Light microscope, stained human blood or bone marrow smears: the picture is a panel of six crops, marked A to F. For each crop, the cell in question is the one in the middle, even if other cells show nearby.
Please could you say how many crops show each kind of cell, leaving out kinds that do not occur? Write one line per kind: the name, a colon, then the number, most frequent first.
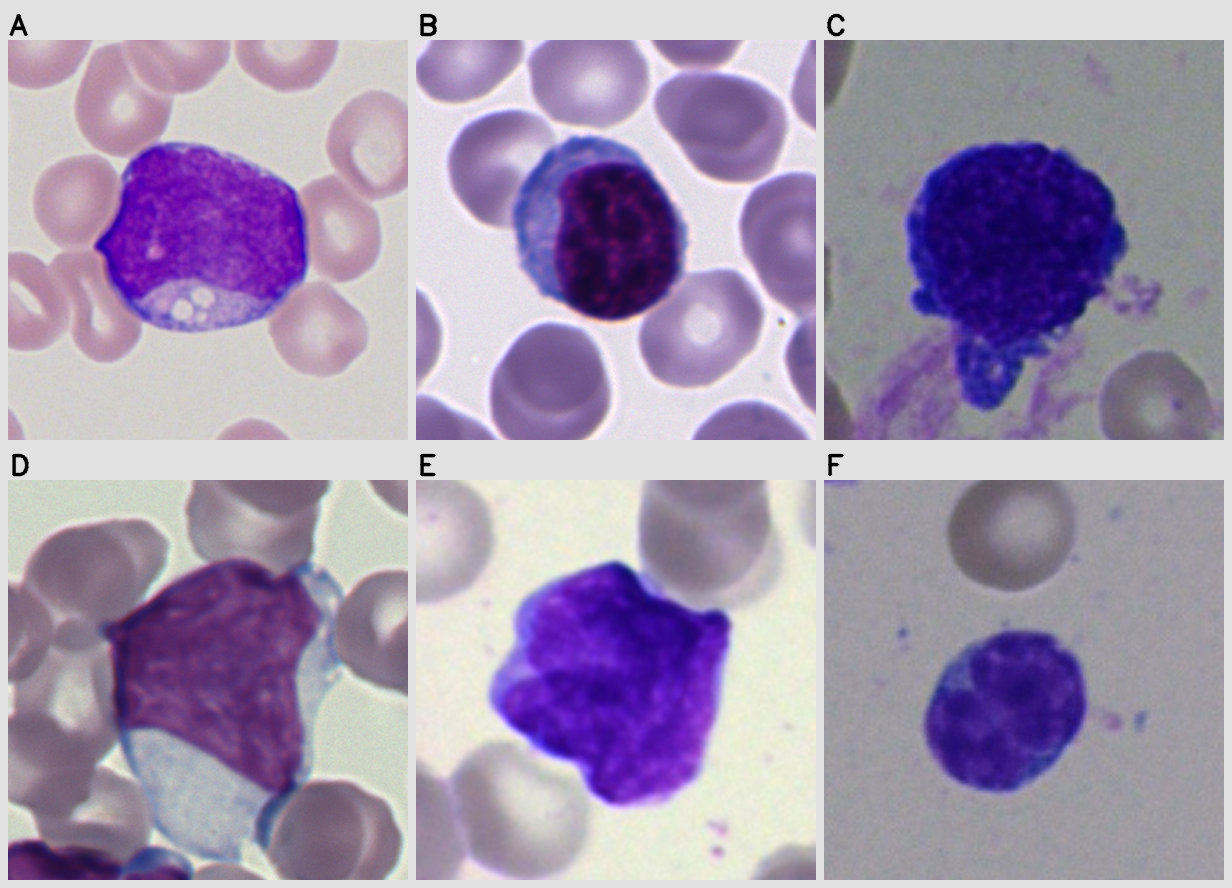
blast: 4
lymphocyte: 2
